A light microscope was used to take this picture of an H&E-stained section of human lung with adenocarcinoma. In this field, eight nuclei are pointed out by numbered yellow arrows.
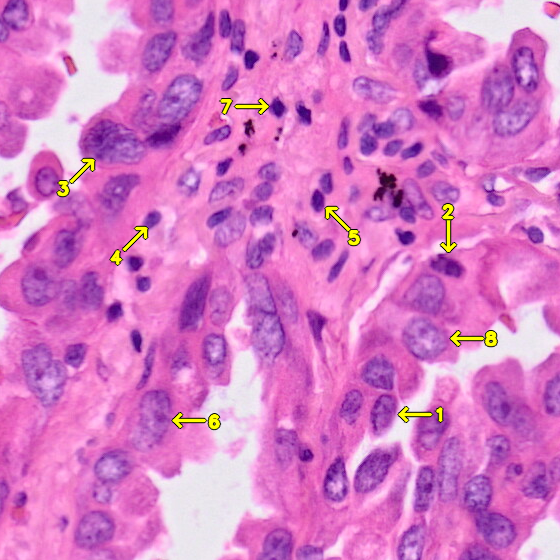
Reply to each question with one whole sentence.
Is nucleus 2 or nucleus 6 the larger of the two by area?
Nucleus 6 is larger, with an area about 3 times that of nucleus 2.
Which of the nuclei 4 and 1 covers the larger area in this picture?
Nucleus 1 is the larger one, covering about 3 times the area of nucleus 4.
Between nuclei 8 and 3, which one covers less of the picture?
The smaller nucleus is 8, and 3 covers roughly 1.5 times its area.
